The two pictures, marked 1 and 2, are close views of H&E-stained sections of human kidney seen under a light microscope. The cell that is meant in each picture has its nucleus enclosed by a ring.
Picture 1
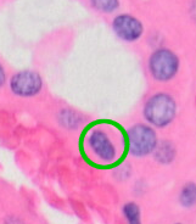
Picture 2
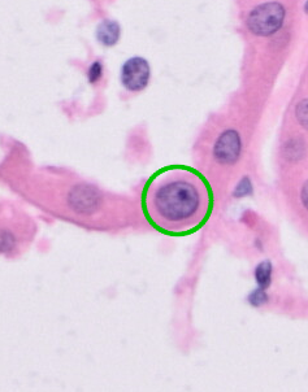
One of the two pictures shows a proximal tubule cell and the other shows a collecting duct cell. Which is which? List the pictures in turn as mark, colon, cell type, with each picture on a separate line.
1: collecting duct cell
2: proximal tubule cell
